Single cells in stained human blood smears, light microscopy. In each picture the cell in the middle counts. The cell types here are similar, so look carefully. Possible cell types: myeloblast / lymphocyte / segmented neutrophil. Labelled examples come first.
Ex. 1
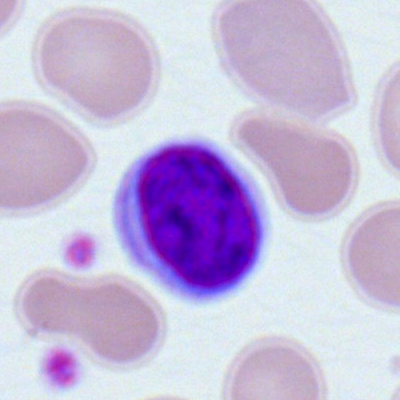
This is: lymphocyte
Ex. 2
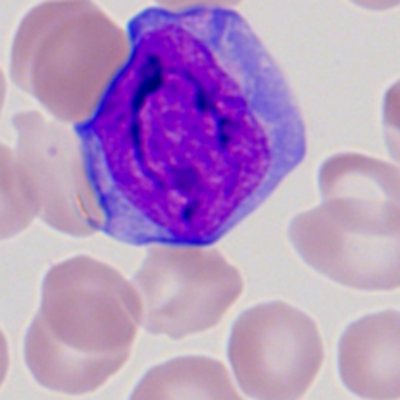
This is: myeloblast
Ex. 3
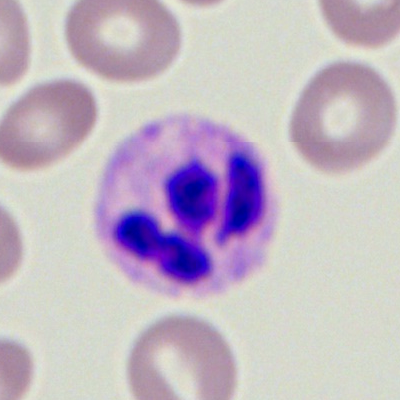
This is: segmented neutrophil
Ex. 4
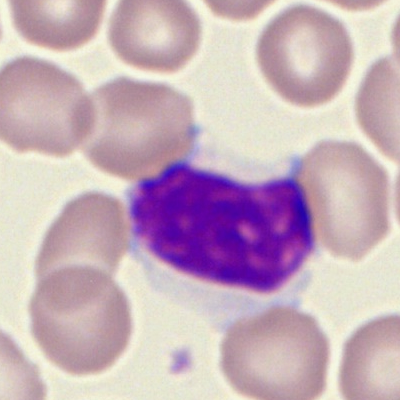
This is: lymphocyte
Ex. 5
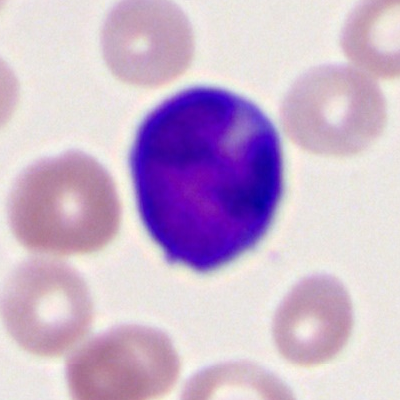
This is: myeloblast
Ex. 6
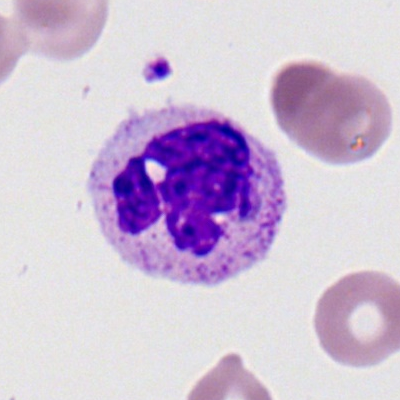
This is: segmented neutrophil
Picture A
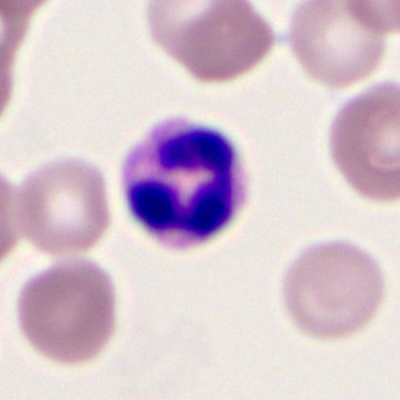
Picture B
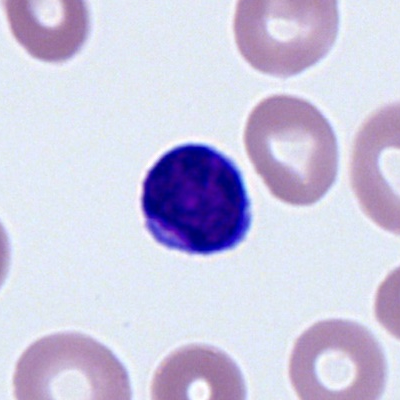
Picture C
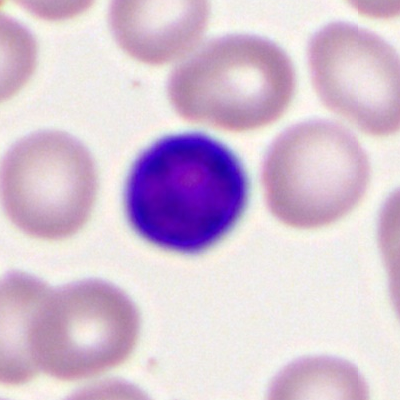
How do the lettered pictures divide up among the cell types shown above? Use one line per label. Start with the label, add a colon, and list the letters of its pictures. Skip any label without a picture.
lymphocyte: B, C
segmented neutrophil: A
